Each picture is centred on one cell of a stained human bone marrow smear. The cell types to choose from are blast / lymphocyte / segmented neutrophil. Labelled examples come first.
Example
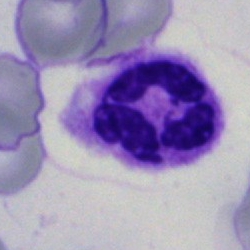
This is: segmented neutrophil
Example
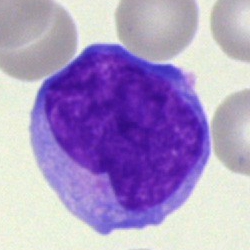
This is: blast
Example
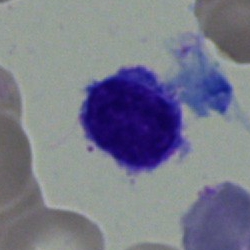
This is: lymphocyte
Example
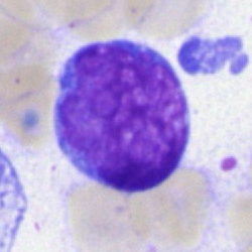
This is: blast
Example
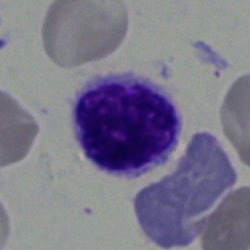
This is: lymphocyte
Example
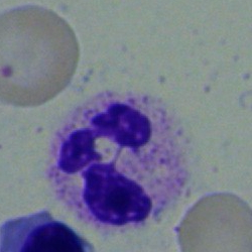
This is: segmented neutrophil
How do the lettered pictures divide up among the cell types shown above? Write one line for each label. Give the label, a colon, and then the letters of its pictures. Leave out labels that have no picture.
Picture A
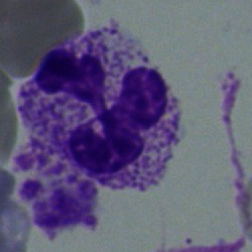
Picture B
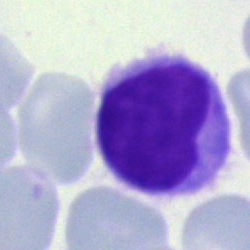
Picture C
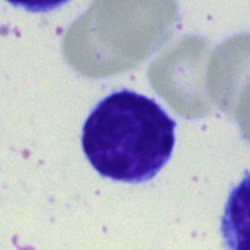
lymphocyte: B, C
segmented neutrophil: A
